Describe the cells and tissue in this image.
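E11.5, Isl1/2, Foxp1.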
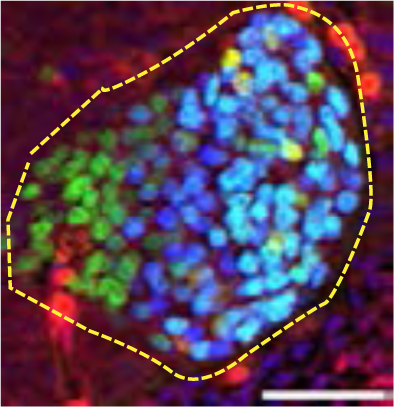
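This is a section through the developing spinal cord, showing a dense cluster of motor neurons enclosed by a yellow dashed outline. The cells are small and closely packed, with round to oval nuclei that fill most of each cell. Two groups can be told apart by colour: toward the left of the outline the nuclei are green, while the larger right-hand part is crowded with nuclei that appear blue to cyan where the two colours overlap. Outside the outline the tissue is darker with reddish background.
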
